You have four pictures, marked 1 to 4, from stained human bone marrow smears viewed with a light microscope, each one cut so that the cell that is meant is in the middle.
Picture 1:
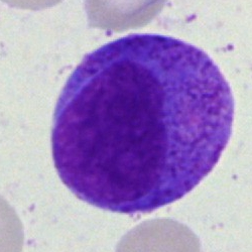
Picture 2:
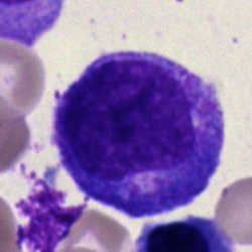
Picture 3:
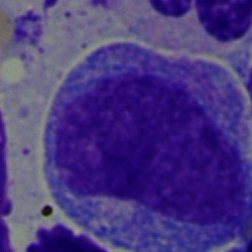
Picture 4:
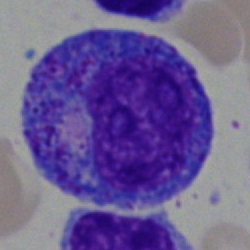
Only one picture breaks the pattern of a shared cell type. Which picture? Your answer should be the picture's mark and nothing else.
2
